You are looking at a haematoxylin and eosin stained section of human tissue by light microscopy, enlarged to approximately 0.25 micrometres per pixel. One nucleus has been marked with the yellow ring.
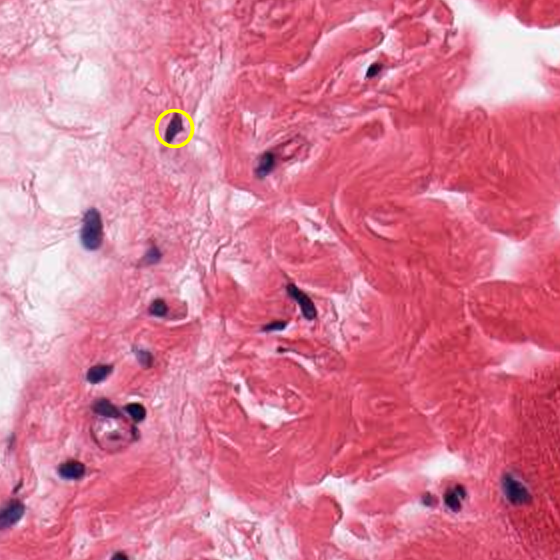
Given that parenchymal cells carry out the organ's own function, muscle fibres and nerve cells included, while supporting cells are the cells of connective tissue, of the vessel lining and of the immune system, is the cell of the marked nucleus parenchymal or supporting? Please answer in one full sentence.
Designated as that of a supporting cell is the marked nucleus.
